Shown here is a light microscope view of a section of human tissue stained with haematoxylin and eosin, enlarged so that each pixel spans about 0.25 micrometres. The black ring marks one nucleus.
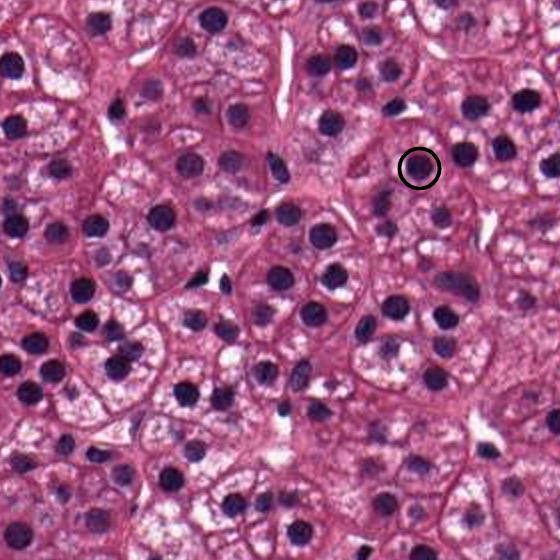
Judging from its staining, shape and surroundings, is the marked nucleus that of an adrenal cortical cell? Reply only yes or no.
yes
